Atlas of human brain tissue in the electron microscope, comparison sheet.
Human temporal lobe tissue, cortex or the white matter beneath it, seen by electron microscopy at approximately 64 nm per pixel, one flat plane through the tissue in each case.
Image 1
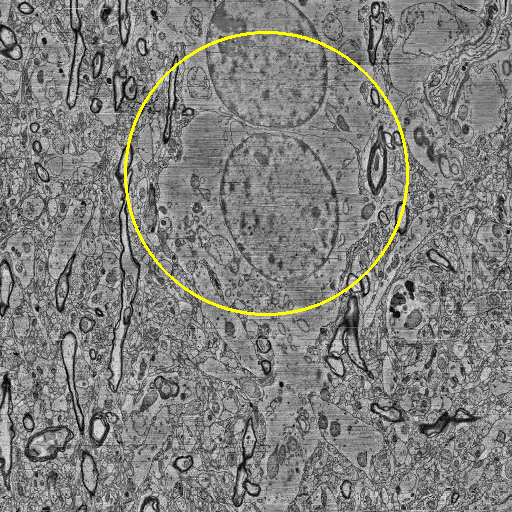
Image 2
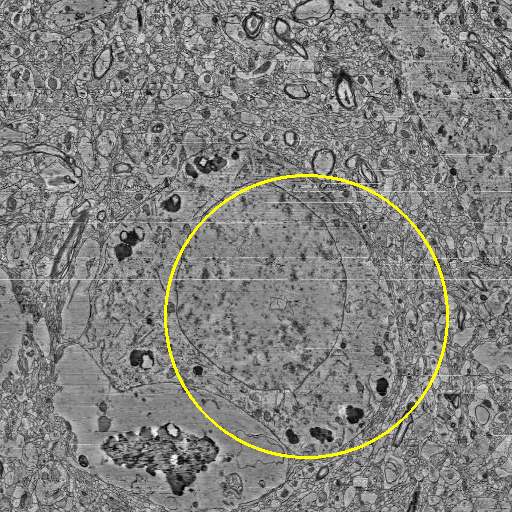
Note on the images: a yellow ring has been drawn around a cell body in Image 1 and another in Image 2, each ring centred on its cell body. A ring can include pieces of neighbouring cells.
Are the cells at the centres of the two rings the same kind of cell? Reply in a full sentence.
No, the two cells are of two kinds.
